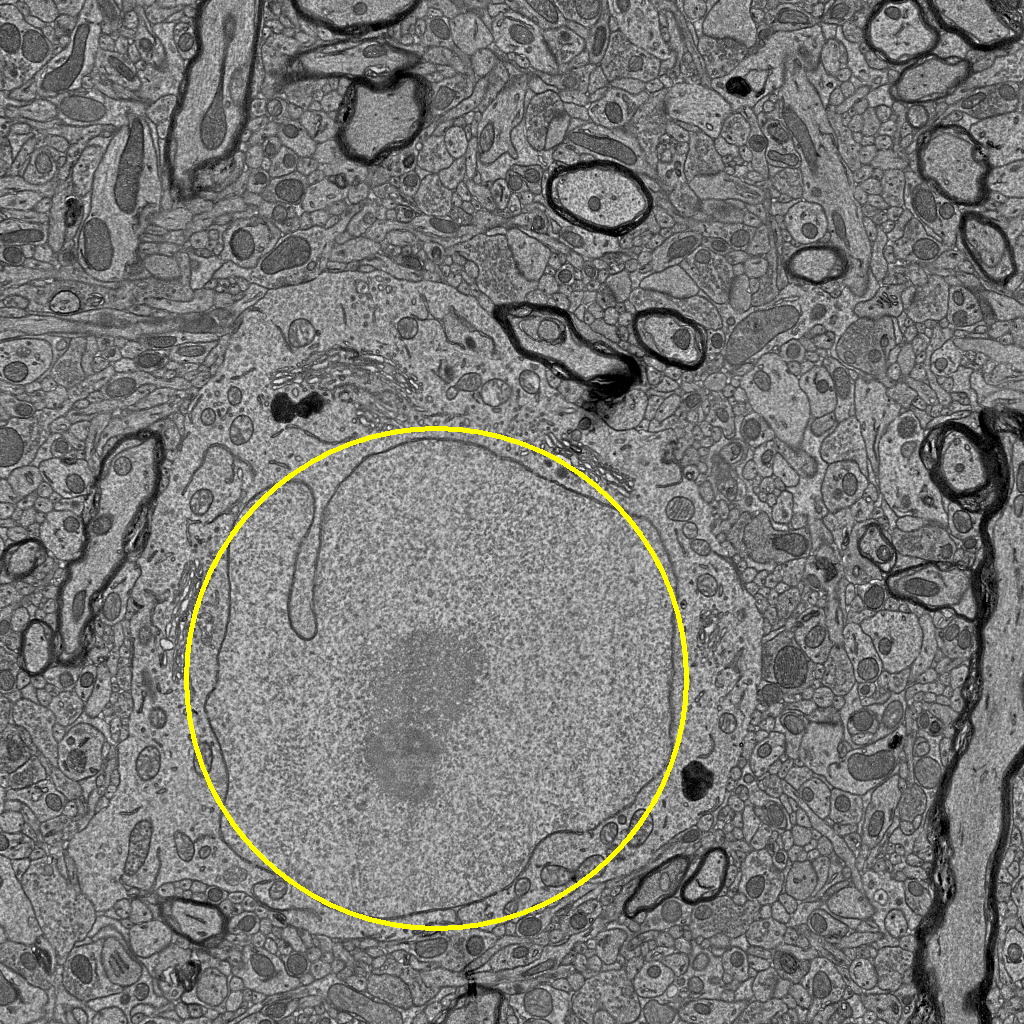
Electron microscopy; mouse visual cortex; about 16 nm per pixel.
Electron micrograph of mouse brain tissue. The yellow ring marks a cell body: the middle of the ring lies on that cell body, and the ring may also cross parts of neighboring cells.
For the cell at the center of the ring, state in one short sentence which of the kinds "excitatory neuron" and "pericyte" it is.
This ring's center lies on an excitatory neuron.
